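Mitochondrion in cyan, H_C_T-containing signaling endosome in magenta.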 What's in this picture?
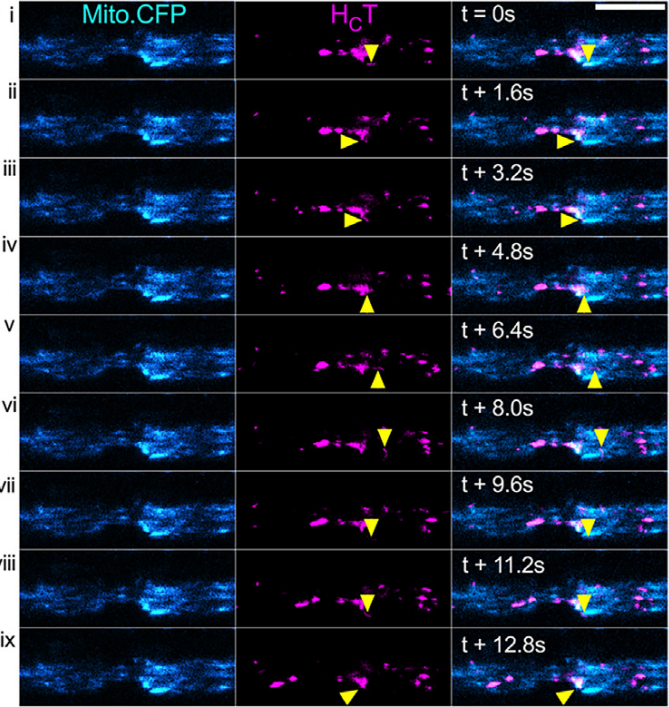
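A horizontal band of cyan-fluorescent elongated bodies fills the axon, brightest in a dense cluster right of centre, with magenta puncta of varying size scattered among them. Yellow arrowheads follow one small magenta punctum from row to row as it shifts up, down and sideways around a single bright cyan body.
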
